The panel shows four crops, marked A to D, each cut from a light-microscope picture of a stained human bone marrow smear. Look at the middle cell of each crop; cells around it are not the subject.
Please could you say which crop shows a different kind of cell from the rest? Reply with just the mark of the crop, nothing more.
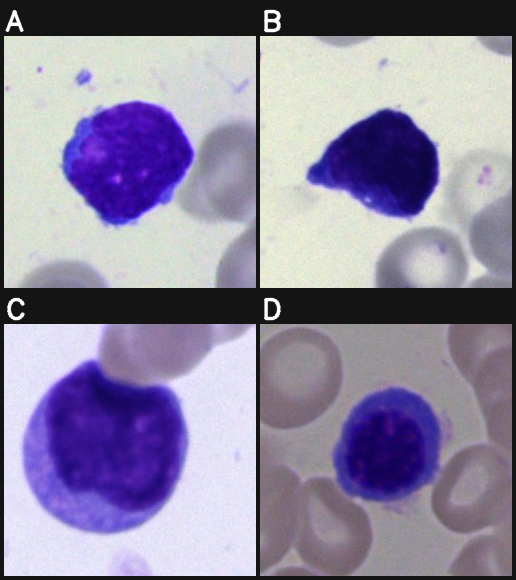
D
